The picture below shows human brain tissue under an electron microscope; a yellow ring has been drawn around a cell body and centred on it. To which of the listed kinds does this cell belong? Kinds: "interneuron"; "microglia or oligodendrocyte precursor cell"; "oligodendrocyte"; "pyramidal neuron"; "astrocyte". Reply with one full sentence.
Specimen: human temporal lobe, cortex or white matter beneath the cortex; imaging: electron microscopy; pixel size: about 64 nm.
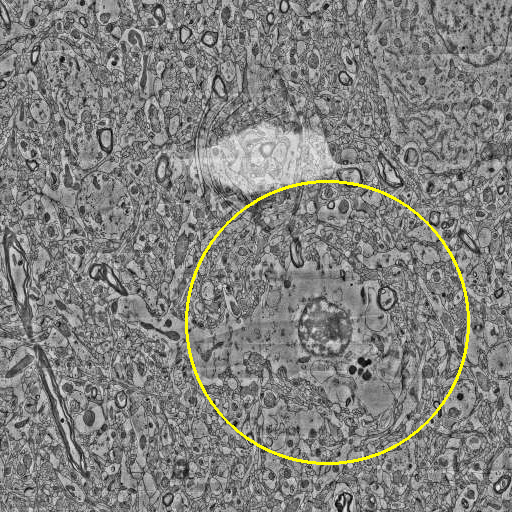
It is an astrocyte that the yellow ring in the picture is centred on.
